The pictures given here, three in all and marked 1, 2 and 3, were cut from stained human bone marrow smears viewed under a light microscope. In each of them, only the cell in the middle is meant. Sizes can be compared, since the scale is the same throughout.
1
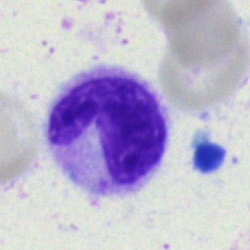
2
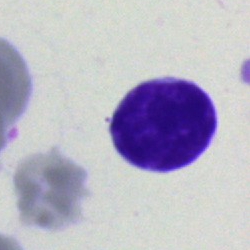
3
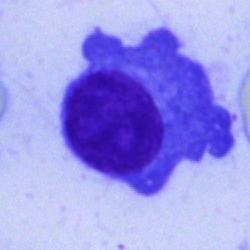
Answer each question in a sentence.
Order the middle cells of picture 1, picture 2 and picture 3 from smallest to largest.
Smallest first: 2, 1, 3.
